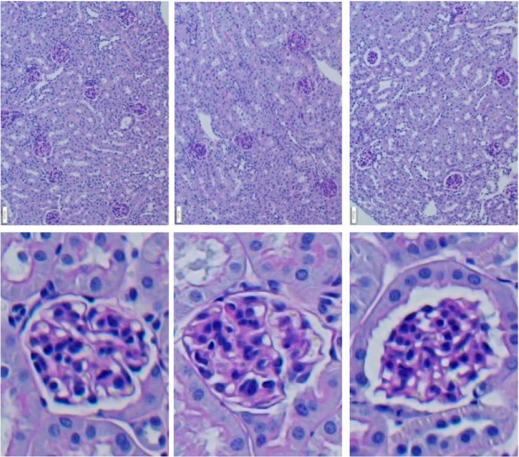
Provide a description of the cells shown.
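Kidney cortex with glomeruli among tubules, at low power above and single glomeruli at high power below. Glomerular tufts show magenta-outlined capillary loops and matrix with dark nuclei, surrounded by a capsule and a clear space. Tubular epithelium has pale pink cytoplasm with purple nuclei.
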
